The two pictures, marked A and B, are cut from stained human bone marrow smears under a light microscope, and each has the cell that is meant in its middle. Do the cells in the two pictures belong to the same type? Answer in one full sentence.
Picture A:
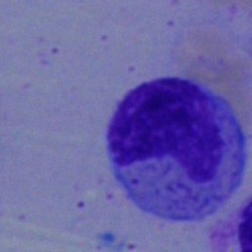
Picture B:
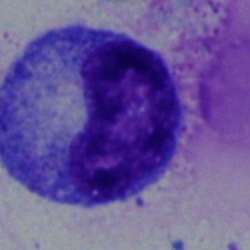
Yes, both cells are metamyelocytes.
